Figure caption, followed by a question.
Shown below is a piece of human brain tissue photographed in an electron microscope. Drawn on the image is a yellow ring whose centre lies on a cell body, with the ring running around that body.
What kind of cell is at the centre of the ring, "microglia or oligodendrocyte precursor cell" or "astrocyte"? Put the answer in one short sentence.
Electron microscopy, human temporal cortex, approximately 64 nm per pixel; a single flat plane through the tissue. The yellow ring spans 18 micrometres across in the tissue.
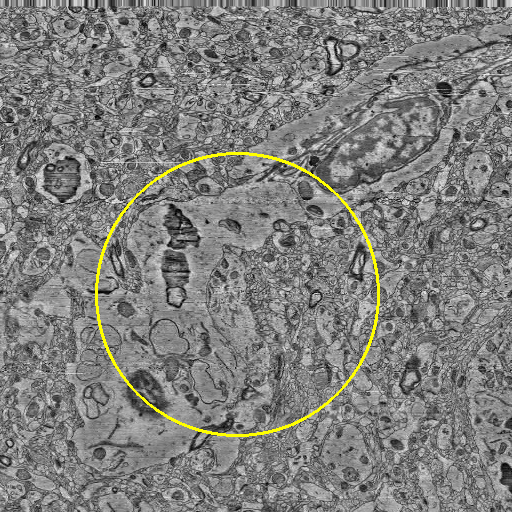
The ring marks the cell body of a microglial cell or oligodendrocyte precursor cell.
